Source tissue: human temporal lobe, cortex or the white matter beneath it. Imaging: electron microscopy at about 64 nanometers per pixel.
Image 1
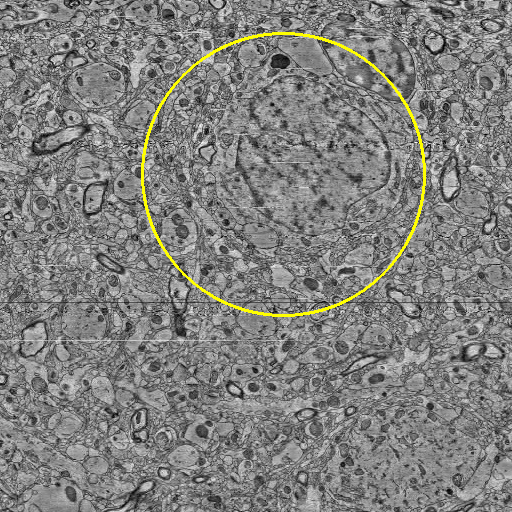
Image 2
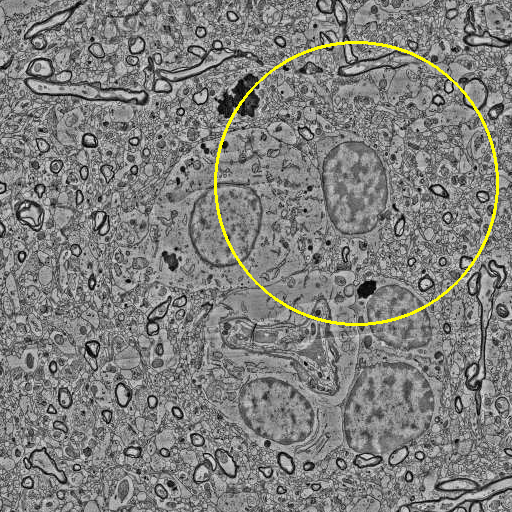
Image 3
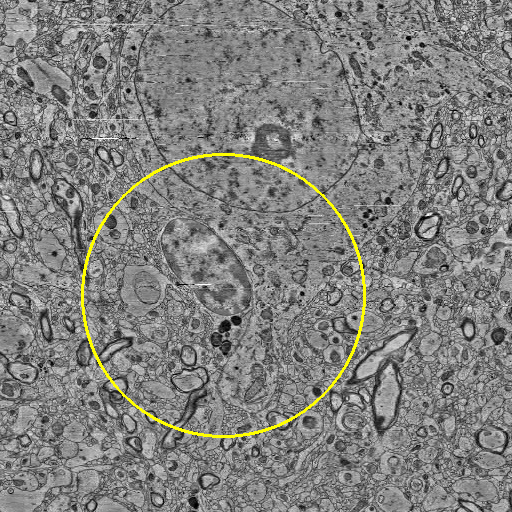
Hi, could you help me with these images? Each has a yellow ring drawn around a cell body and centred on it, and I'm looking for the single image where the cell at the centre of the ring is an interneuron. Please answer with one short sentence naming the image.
It is Image 1 that has it at the centre of its ring.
